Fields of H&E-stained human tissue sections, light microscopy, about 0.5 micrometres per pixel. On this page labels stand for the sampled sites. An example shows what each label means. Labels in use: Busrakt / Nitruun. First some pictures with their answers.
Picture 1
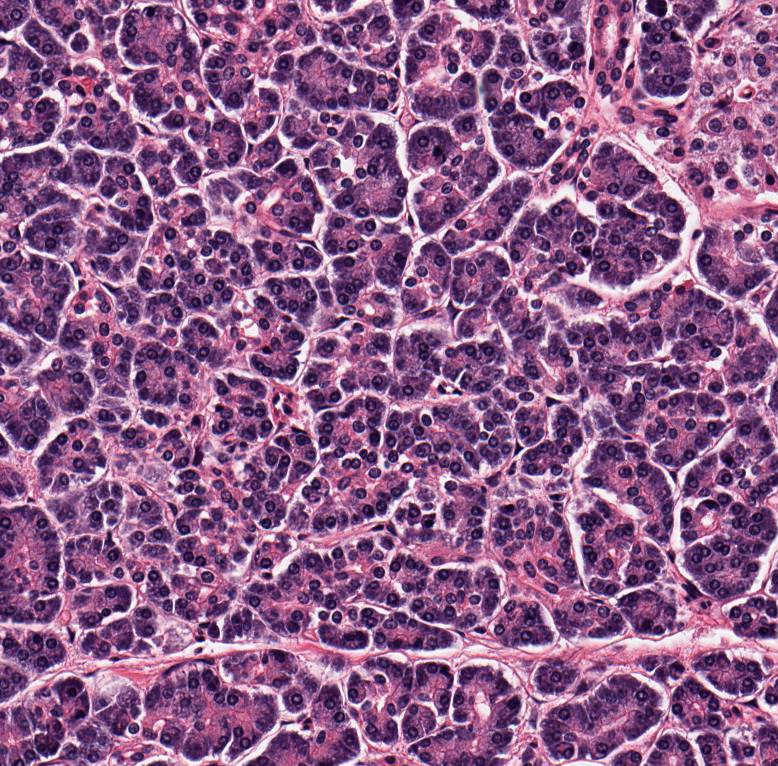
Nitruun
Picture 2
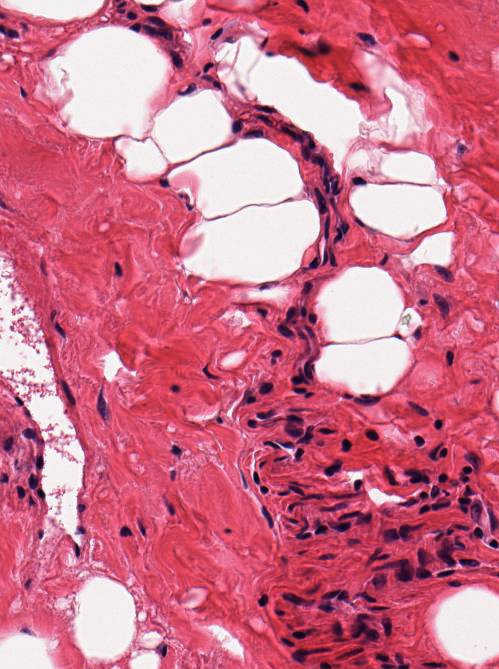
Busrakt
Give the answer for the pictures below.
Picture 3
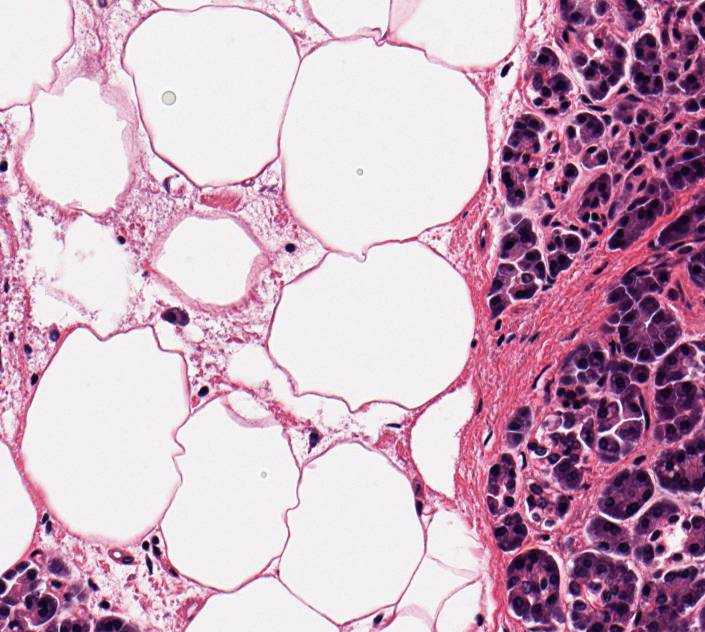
Nitruun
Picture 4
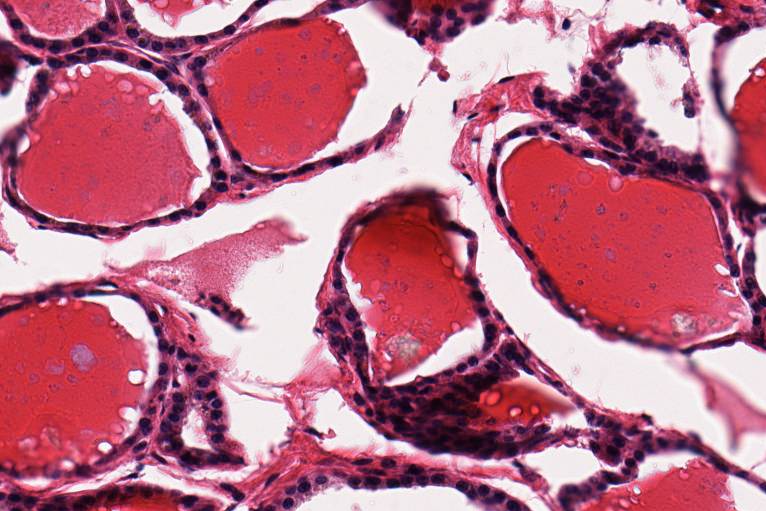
Busrakt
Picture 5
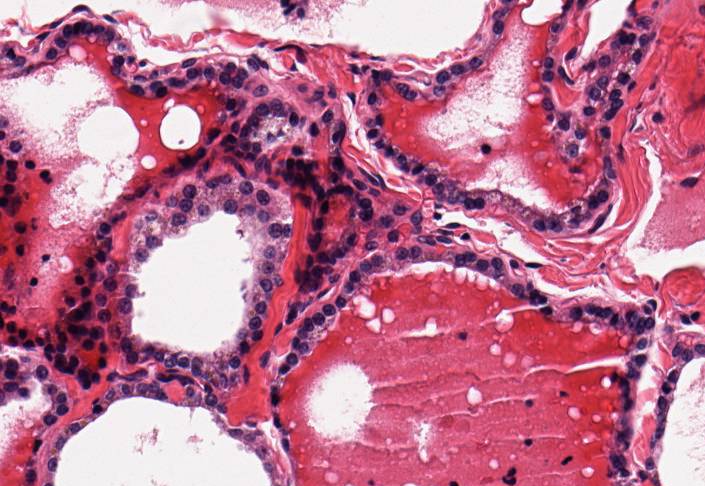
Busrakt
